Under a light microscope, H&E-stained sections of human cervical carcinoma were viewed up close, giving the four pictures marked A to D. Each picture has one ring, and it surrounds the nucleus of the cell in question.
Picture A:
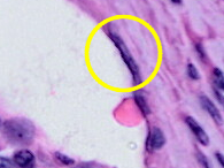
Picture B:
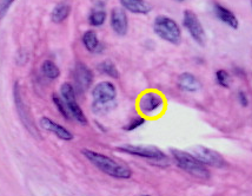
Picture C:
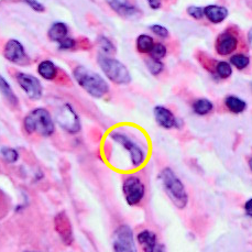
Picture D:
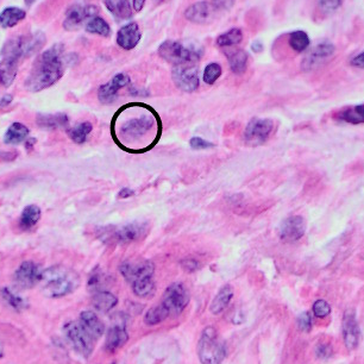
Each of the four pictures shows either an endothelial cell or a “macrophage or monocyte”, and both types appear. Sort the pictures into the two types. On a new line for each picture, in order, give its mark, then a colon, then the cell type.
A: endothelial cell
B: endothelial cell
C: endothelial cell
D: macrophage or monocyte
